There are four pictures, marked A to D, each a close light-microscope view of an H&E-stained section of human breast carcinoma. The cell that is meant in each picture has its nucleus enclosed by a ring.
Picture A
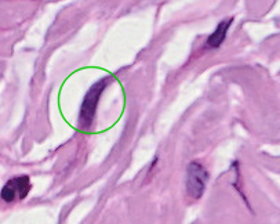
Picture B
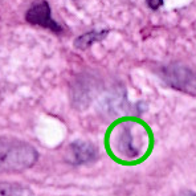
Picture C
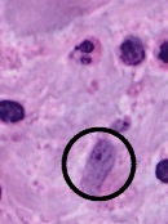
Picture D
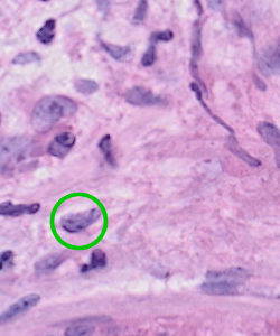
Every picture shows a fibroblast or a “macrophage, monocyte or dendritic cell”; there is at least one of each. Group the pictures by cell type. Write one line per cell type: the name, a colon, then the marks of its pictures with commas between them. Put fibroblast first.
fibroblast: A, C
macrophage, monocyte or dendritic cell: B, D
